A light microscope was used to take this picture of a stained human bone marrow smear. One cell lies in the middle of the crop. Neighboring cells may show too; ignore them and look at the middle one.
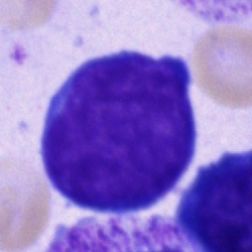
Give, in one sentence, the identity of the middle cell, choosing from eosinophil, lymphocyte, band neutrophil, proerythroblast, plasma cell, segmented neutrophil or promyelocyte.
For this crop, the cell in the middle is a proerythroblast.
